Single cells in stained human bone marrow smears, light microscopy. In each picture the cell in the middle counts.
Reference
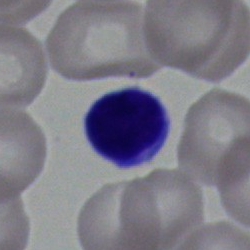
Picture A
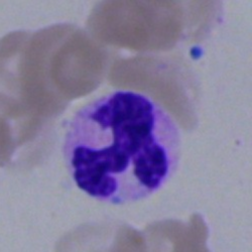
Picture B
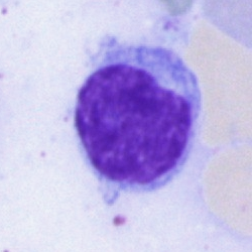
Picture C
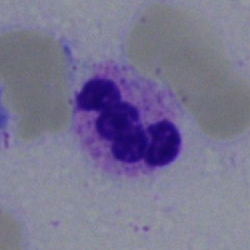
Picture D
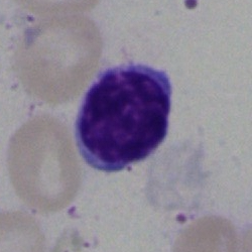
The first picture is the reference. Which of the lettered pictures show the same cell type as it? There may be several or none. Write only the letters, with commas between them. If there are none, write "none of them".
B, D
